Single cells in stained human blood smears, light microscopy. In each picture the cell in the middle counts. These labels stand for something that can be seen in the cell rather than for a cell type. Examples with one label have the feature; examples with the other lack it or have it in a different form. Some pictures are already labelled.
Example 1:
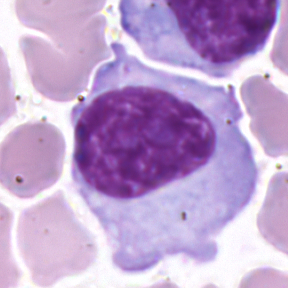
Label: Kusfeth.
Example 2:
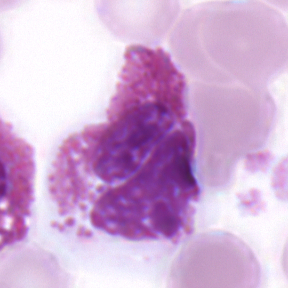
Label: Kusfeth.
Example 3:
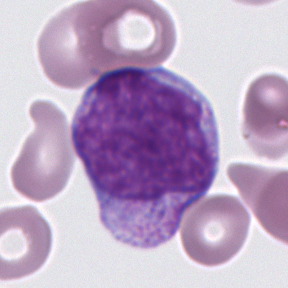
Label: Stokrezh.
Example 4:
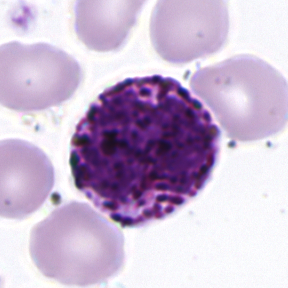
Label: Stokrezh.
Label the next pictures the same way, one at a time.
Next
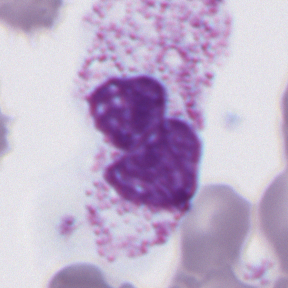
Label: Kusfeth.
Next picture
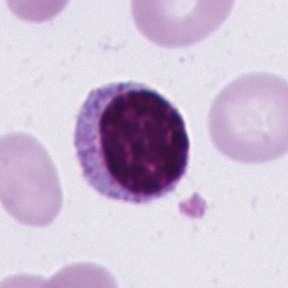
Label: Stokrezh.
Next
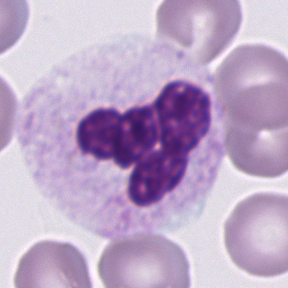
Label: Stokrezh.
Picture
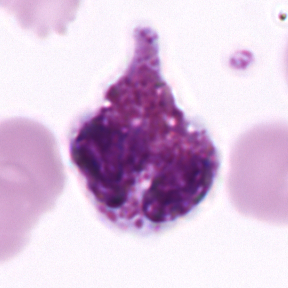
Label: Kusfeth.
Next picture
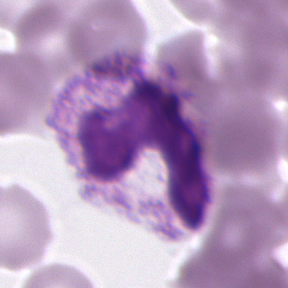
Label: Kusfeth.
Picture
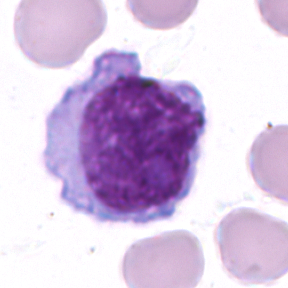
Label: Kusfeth.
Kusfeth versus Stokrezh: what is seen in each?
Seen in Kusfeth: ragged outline or projections; seen in Stokrezh: smooth outline.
